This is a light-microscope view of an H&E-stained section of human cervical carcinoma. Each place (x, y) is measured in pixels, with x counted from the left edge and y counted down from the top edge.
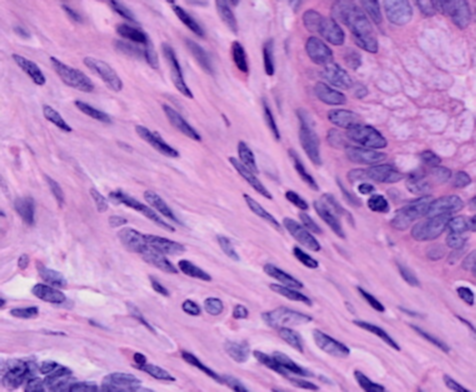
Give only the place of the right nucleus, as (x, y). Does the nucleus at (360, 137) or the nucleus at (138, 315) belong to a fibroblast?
(138, 315)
